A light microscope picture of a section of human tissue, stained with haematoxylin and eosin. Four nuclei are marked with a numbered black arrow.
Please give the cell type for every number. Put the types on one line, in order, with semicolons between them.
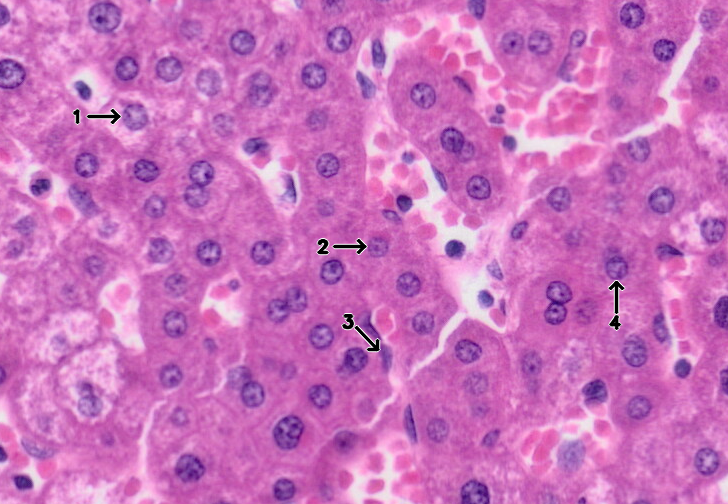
hepatocyte; hepatocyte; fibroblast or stellate cell; hepatocyte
